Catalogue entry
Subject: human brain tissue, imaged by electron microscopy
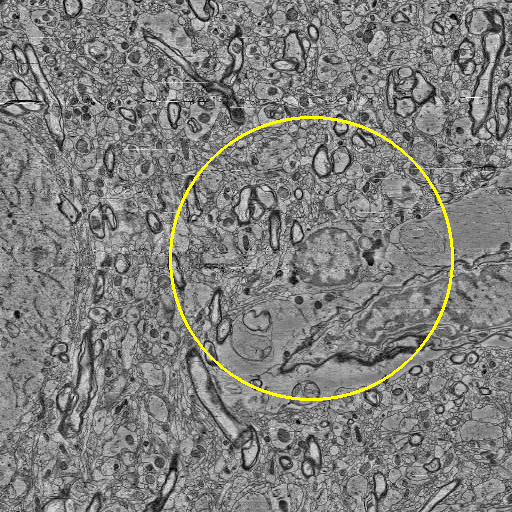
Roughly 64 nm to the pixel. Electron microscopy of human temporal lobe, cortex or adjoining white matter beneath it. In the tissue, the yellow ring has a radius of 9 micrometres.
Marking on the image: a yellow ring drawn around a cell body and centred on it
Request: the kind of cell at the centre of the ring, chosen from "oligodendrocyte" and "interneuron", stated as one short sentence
The ring has an oligodendrocyte at its centre.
